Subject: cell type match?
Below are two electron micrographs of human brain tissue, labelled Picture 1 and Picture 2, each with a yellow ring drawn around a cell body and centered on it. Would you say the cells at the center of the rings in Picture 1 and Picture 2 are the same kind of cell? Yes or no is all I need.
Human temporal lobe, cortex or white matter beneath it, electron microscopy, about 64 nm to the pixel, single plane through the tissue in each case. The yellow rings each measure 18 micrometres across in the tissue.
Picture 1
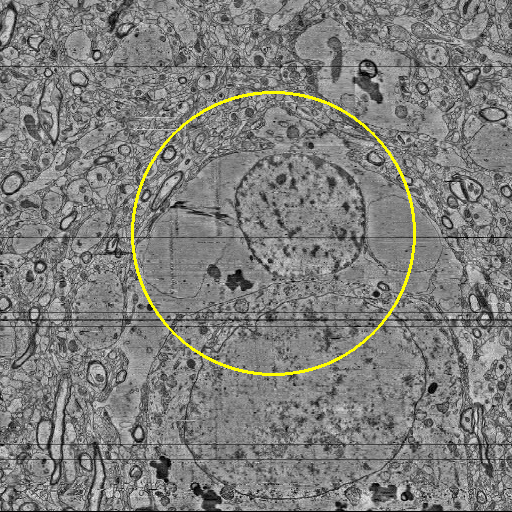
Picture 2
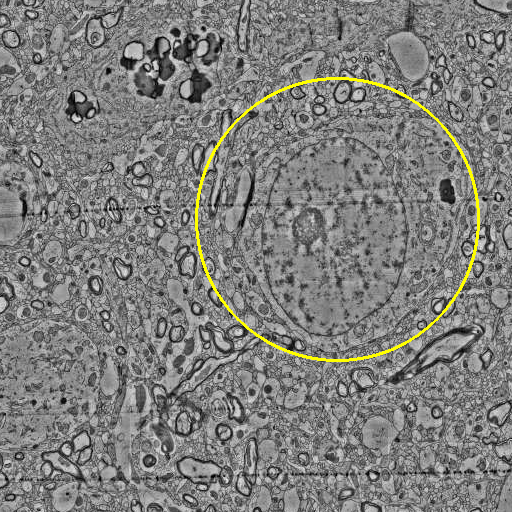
no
